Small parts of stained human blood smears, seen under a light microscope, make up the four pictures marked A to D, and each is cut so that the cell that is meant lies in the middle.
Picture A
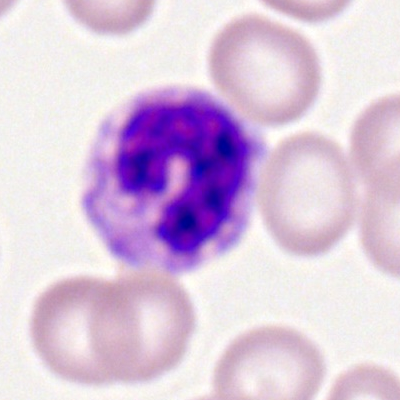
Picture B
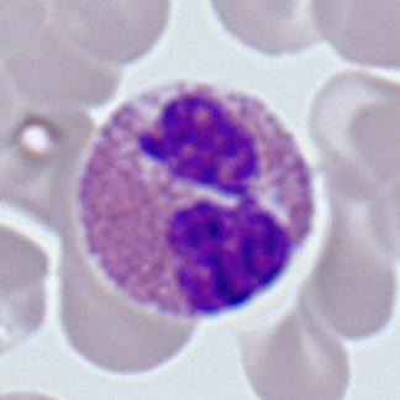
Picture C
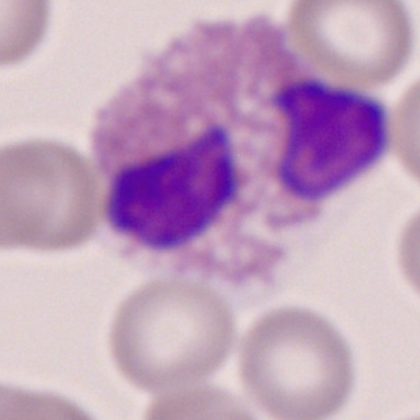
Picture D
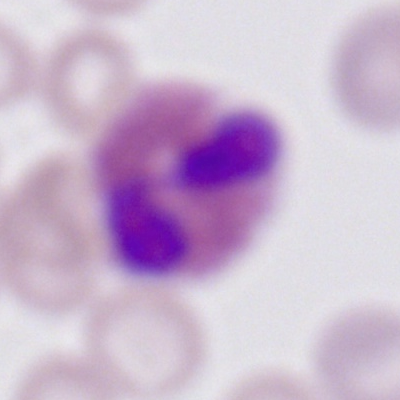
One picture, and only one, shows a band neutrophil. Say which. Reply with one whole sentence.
Picture A is the one that shows the band neutrophil.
